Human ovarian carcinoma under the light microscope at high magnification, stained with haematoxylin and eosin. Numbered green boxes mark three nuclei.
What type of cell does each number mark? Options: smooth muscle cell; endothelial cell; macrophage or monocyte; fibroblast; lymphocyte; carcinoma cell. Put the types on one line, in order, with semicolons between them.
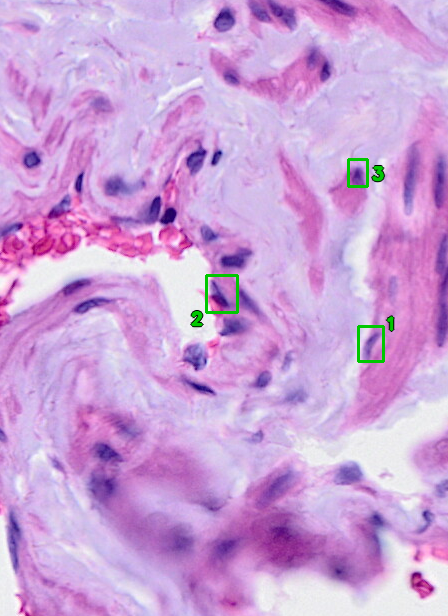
smooth muscle cell; endothelial cell; smooth muscle cell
